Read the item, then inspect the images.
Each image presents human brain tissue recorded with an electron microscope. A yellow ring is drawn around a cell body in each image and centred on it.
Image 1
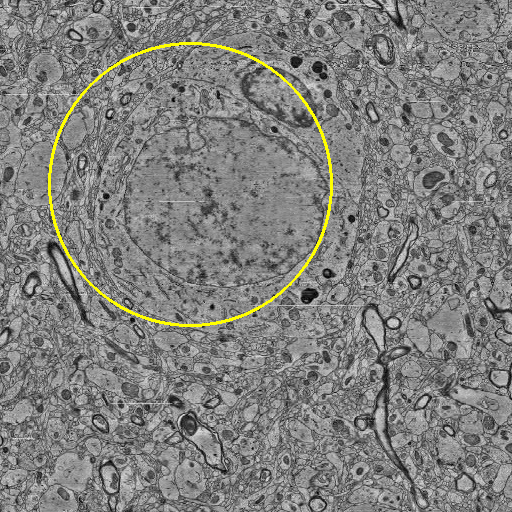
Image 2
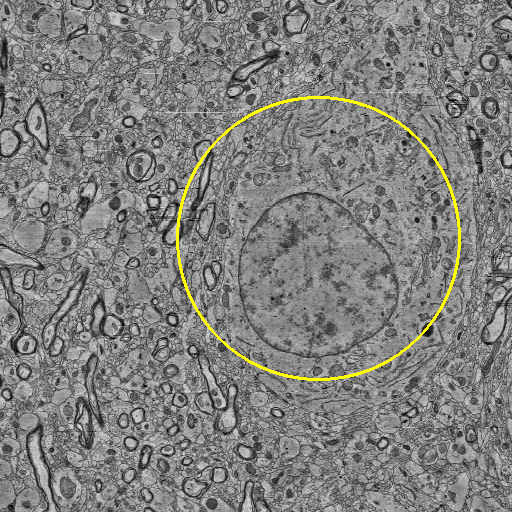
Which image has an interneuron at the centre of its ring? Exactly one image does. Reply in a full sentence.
The ring in Image 2 is centred on it.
